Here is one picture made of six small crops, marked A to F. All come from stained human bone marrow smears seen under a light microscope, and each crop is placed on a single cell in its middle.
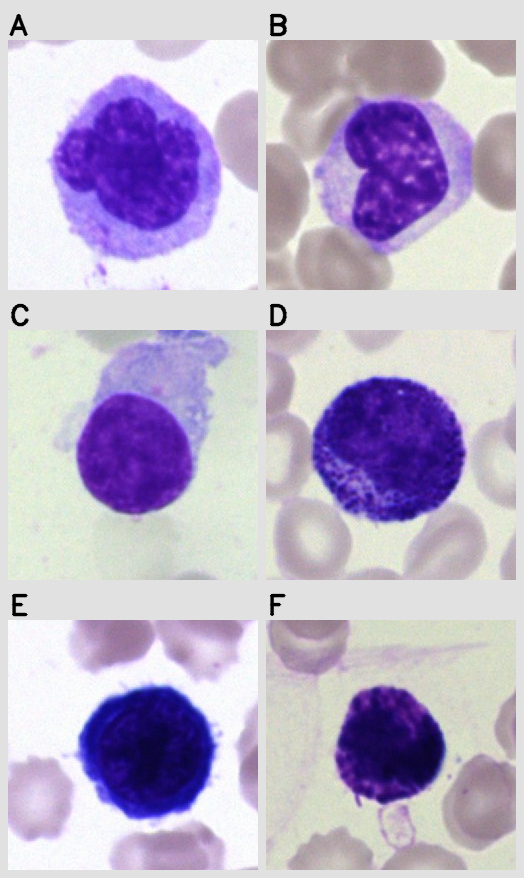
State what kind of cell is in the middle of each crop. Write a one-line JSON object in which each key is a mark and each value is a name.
{"A": "monocyte", "B": "metamyelocyte", "C": "hairy cell", "D": "promyelocyte", "E": "proerythroblast", "F": "basophil"}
